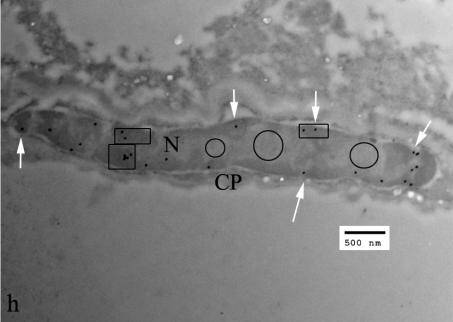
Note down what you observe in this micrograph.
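A long, flattened, spindle-shaped cell stretches across the field, with a narrow elongated nucleus occupying most of its length and a thin rim of cytoplasm along its edges. Above the cell lies loose, granular extracellular material.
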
